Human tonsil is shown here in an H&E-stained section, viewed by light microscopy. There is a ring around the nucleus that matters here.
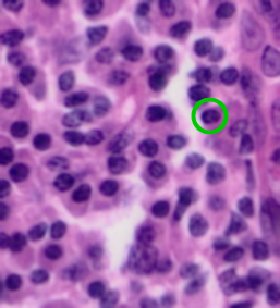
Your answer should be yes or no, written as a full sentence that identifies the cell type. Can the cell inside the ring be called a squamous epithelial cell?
No, the correct identification of the cell inside the ring is a plasma cell, not a squamous epithelial cell.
